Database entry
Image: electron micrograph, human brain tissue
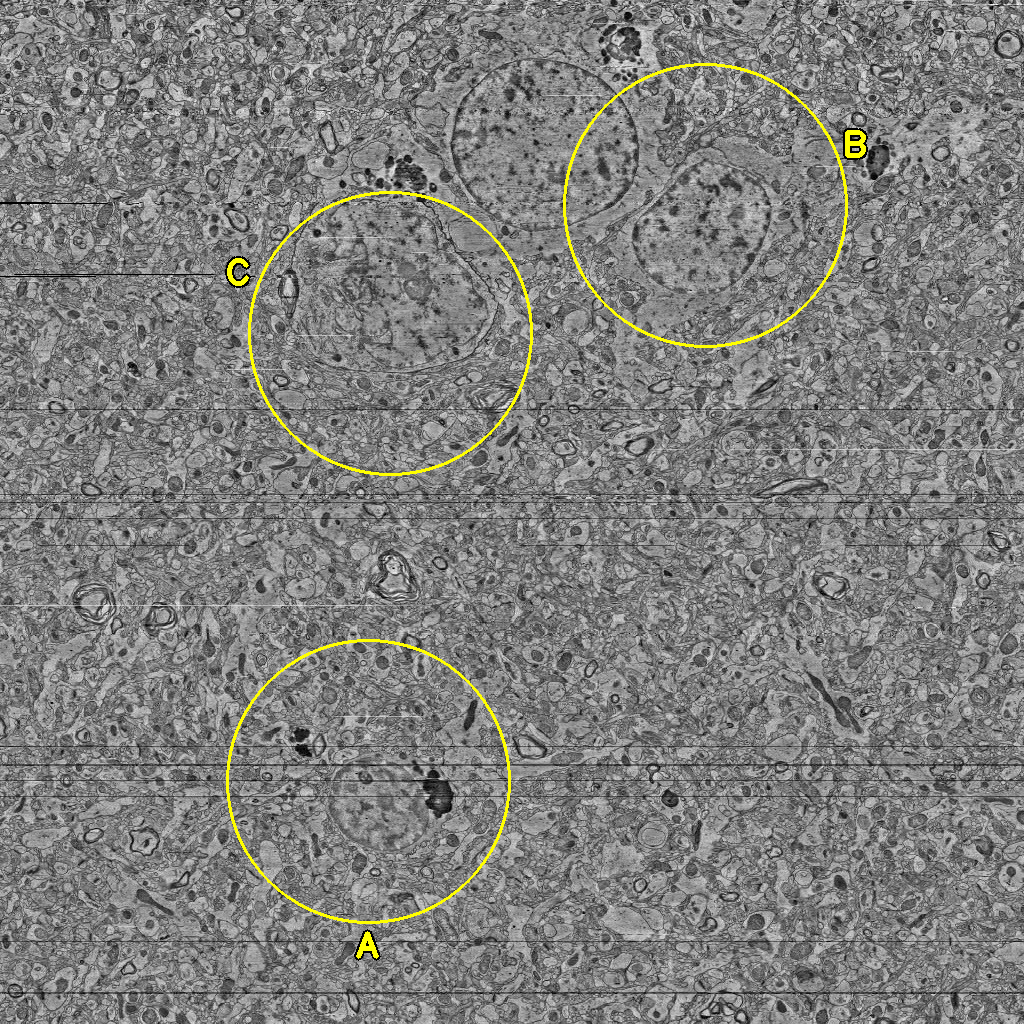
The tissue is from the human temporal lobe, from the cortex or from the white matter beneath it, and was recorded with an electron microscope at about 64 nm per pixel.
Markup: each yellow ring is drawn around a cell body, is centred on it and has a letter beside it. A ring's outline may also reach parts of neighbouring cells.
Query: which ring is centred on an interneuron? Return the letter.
C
